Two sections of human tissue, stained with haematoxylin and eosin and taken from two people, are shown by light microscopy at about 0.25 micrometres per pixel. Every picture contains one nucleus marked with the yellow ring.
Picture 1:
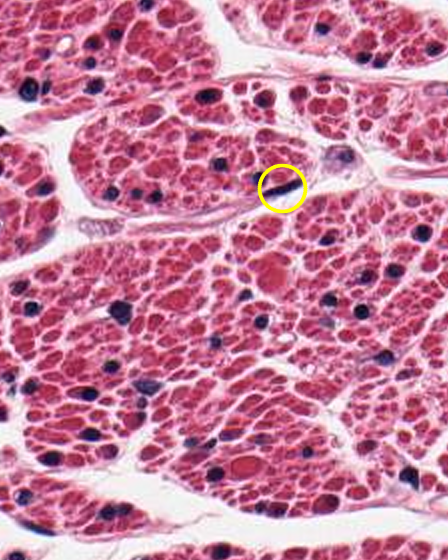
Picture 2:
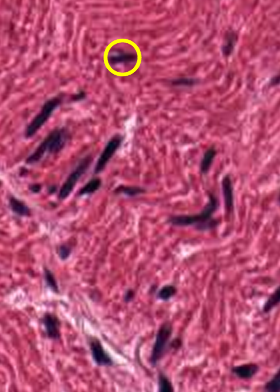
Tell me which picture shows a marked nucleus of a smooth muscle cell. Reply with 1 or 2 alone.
2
